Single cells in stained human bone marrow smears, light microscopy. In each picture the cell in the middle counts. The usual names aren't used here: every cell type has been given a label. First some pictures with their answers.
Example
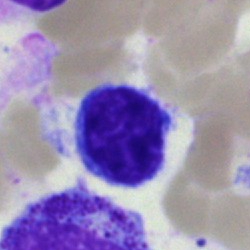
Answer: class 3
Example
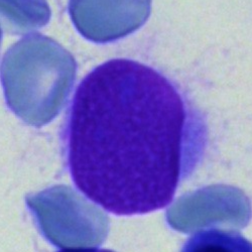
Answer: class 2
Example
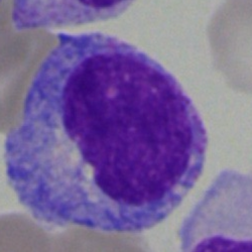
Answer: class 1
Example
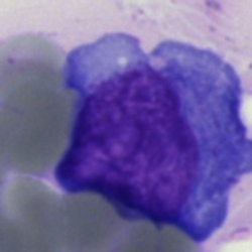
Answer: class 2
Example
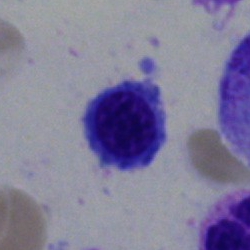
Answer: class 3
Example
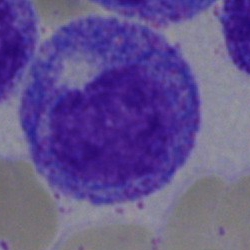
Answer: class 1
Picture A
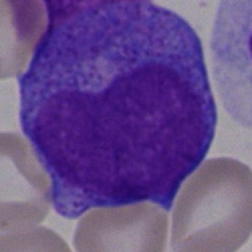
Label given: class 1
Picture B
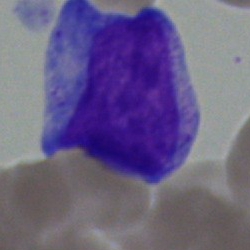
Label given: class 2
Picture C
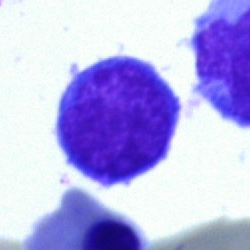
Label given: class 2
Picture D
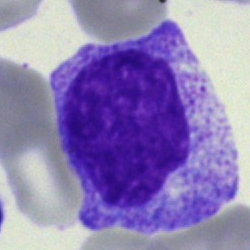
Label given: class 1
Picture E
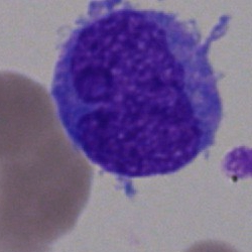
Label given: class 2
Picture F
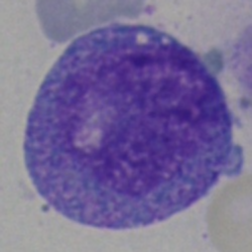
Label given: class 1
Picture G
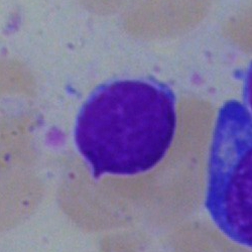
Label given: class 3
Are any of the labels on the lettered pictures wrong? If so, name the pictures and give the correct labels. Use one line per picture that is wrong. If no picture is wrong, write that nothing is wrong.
Nothing to fix; every label fits.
